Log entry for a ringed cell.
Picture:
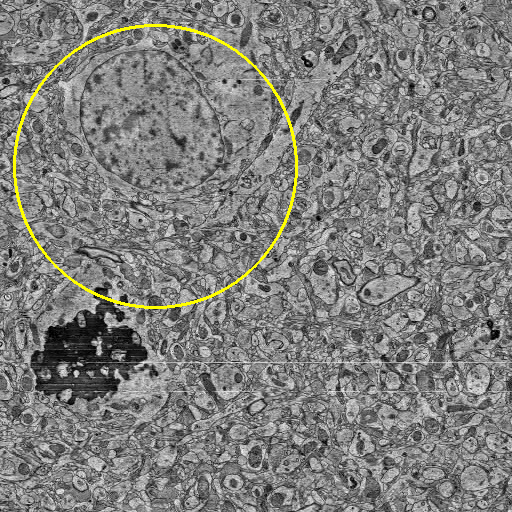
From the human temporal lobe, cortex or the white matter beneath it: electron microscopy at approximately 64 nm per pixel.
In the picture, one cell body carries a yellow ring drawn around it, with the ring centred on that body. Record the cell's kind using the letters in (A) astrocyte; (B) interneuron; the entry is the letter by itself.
A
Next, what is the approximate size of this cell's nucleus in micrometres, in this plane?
In this plane the nucleus spans approximately 10 by 8 micrometers.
